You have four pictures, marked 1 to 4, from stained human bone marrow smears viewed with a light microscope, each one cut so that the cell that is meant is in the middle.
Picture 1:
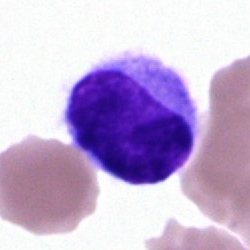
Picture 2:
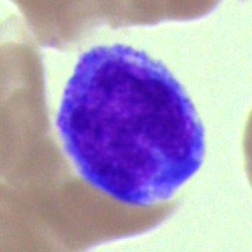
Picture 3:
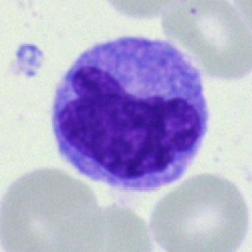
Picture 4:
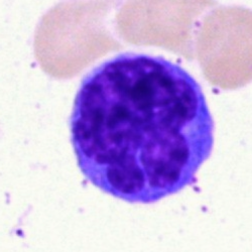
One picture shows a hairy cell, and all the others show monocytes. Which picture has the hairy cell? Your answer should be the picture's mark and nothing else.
1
